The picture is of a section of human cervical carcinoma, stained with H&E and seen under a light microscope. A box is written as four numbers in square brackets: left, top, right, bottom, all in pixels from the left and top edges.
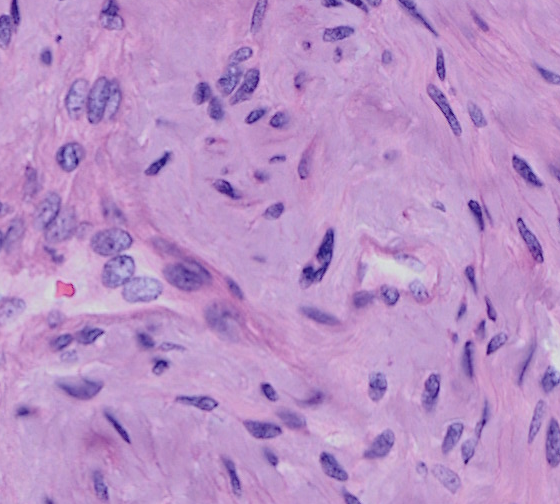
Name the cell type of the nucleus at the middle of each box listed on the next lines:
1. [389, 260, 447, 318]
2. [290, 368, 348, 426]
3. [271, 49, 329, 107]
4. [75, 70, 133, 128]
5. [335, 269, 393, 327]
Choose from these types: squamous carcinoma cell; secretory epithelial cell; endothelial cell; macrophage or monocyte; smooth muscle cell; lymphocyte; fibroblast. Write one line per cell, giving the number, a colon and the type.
1: endothelial cell
2: fibroblast
3: smooth muscle cell
4: endothelial cell
5: endothelial cell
